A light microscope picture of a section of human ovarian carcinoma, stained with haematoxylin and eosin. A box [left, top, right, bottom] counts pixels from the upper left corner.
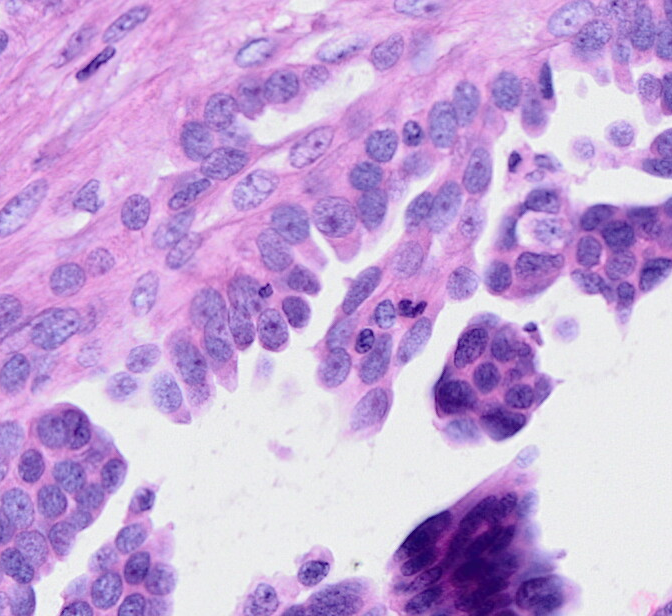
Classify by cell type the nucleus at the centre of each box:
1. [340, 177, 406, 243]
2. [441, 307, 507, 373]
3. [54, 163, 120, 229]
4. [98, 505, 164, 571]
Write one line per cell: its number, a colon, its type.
1: carcinoma cell
2: carcinoma cell
3: fibroblast
4: carcinoma cell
